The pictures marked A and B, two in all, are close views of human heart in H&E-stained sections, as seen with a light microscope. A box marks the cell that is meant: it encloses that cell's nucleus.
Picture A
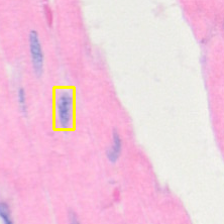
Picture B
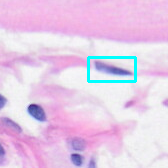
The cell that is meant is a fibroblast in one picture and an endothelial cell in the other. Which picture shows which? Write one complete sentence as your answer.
Picture A shows an endothelial cell and picture B shows a fibroblast.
